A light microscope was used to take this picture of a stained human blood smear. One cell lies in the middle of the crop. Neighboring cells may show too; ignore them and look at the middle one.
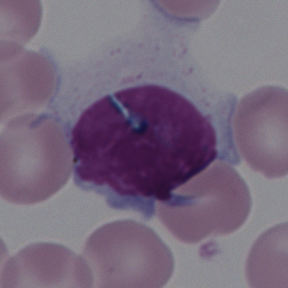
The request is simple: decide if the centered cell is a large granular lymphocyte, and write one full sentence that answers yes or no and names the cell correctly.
Yes, this crop has a large granular lymphocyte at its centre.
